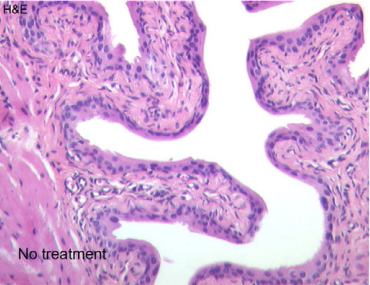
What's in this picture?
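The urothelium is several cell layers thick, with crowded round to oval purple nuclei and a smooth luminal surface. Beneath it the lamina propria is pale pink loose connective tissue with scattered spindle-shaped nuclei and small vessels. At the far left, pink smooth muscle bundles run obliquely. The lumen is an empty white space between the folds.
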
